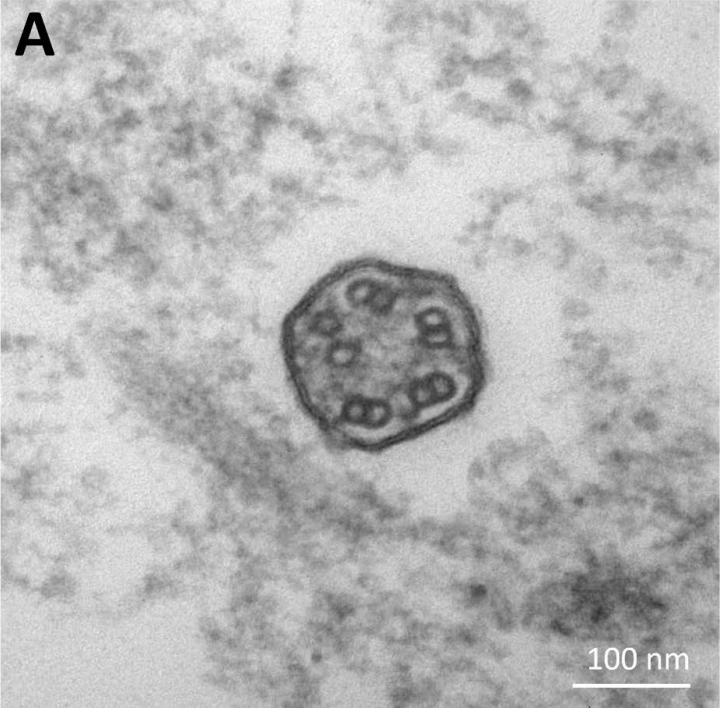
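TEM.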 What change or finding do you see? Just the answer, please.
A: Central pair absent.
